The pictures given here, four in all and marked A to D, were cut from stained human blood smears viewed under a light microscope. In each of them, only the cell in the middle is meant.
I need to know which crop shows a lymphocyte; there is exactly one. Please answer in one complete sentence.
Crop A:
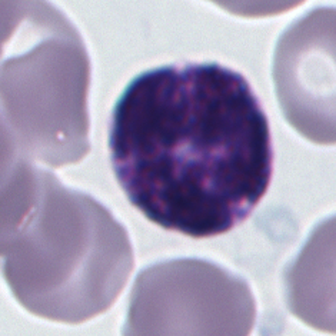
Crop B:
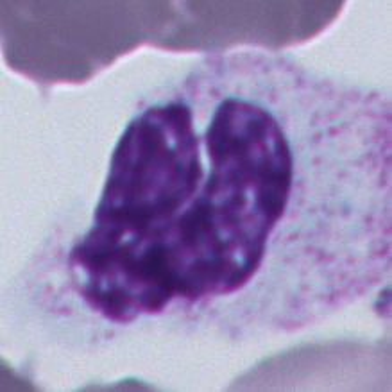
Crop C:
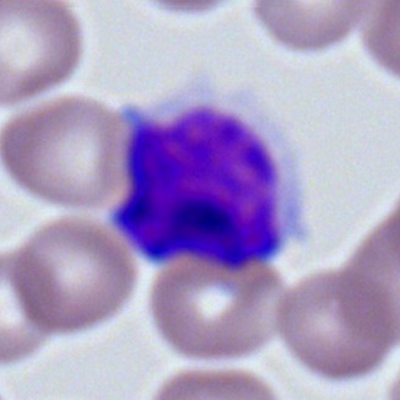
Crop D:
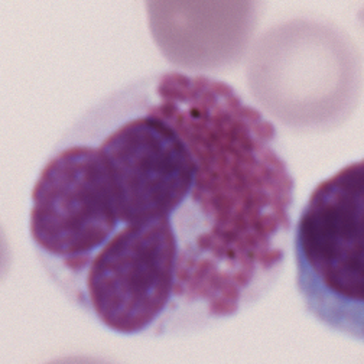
Of the crops given, a lymphocyte is found in crop C.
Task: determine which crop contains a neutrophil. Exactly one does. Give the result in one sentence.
Crop B, of the crops presented, is the one showing a neutrophil.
